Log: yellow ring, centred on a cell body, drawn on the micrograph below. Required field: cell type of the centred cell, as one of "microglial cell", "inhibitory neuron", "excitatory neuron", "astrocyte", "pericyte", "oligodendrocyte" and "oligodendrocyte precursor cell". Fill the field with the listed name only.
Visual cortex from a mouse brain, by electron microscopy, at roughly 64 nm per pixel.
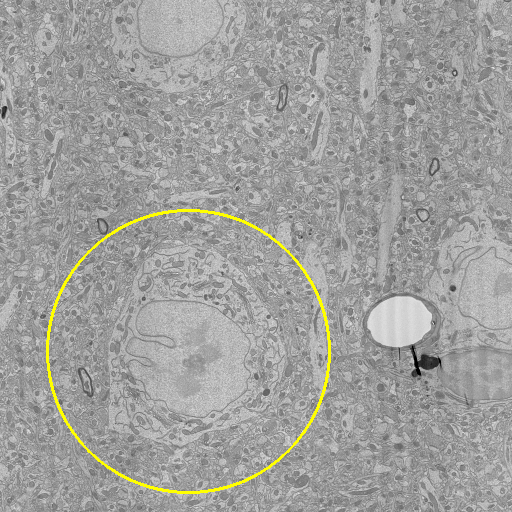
inhibitory neuron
